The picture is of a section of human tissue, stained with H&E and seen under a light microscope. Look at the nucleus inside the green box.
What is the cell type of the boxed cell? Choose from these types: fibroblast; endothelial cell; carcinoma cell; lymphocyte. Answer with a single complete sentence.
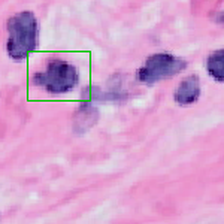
The cell type represented by the boxed cell is that of a lymphocyte.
